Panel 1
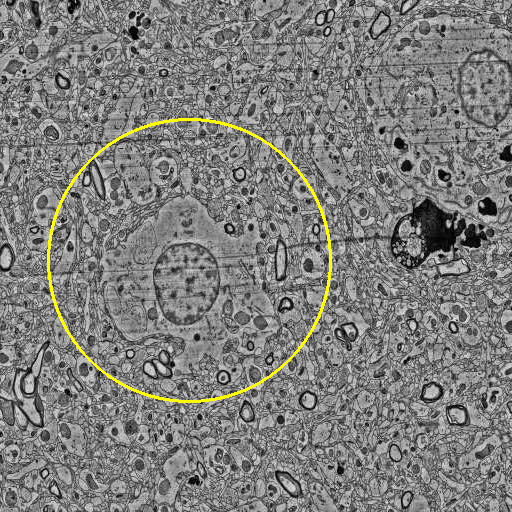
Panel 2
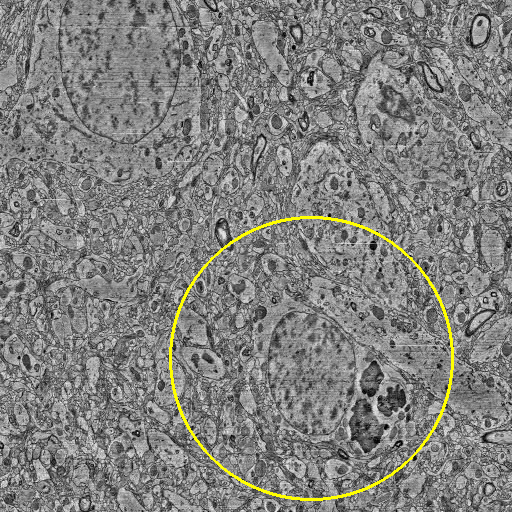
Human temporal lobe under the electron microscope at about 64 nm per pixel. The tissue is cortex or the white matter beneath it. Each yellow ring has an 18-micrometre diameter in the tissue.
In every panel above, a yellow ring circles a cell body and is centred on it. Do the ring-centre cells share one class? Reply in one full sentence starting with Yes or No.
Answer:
Yes, the two cells at the ring centres in the panels belong to one class.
